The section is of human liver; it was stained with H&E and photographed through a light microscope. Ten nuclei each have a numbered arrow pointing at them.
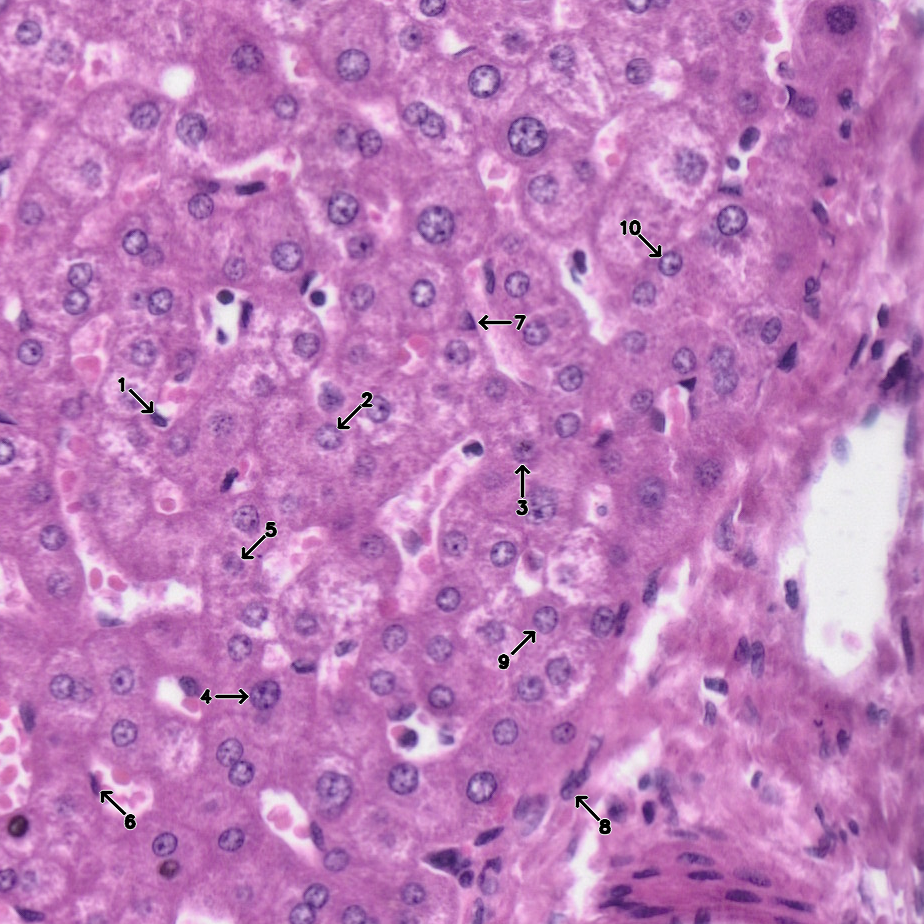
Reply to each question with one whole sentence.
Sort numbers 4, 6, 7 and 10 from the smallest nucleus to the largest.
Smallest first, the nuclei run 6, 7, 10, 4.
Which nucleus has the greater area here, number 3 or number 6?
Nucleus 3 is the larger one, covering about 2.5 times the area of nucleus 6.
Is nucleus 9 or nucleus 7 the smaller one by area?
Nucleus 7 covers less area, with nucleus 9 about 1.5 times as large.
